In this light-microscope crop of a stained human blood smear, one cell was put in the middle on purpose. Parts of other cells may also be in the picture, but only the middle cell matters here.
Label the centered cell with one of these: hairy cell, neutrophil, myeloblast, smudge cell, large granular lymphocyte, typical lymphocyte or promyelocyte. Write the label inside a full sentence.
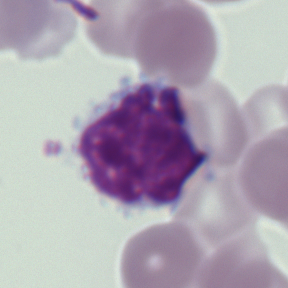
Present in the middle of the crop is a large granular lymphocyte.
